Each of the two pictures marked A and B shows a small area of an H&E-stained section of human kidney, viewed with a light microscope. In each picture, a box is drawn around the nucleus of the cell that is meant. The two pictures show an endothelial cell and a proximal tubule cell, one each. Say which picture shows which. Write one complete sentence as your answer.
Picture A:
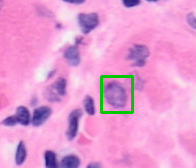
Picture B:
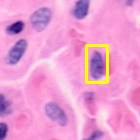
Picture A is of a proximal tubule cell, and picture B is of an endothelial cell.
